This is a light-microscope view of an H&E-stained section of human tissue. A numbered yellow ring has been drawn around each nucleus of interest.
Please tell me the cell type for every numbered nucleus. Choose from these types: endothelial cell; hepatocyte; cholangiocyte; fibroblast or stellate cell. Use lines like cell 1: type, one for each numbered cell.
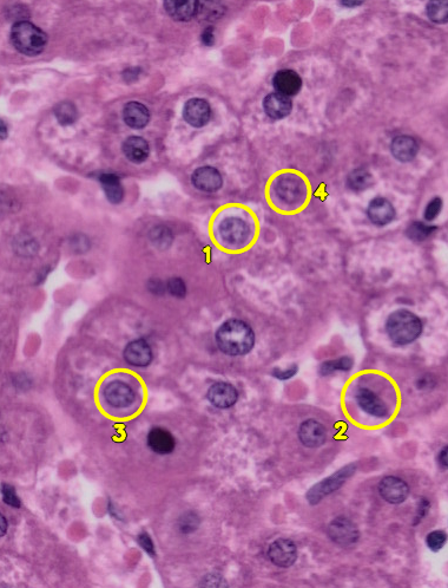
cell 1: hepatocyte
cell 2: fibroblast or stellate cell
cell 3: hepatocyte
cell 4: hepatocyte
